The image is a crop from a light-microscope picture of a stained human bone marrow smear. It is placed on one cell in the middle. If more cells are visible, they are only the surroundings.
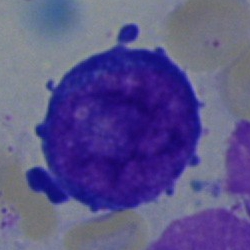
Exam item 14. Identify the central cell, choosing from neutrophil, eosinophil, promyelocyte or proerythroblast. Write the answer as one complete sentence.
The central cell in this smear crop is a proerythroblast.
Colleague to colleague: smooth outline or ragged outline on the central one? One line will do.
The border of the cell is irregular, being either ragged or extended into projections.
